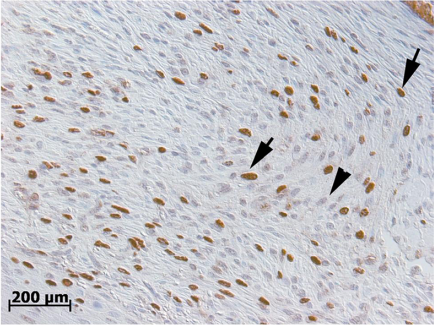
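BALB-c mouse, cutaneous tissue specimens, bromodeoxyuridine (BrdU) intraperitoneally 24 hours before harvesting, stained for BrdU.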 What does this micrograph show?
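This is healing wound tissue packed with spindle-shaped fibroblasts running in roughly parallel streams. Many of their elongated oval nuclei are stained dark brown, while others are pale blue-grey. The cells lie close together in a faint fibrous matrix, with few gaps between them.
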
